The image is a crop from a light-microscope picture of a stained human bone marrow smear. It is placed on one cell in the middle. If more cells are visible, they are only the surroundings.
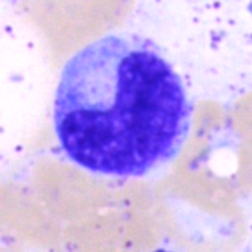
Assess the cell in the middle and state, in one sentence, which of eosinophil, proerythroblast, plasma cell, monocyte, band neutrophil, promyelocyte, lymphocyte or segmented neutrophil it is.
The cell of interest, in the center, is a band neutrophil.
